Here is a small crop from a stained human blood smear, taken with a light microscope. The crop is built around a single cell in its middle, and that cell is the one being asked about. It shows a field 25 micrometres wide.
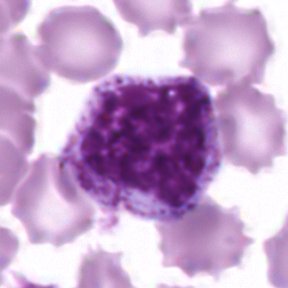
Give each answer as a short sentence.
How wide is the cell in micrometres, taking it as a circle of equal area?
About 13 micrometres: that is the cell's diameter.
